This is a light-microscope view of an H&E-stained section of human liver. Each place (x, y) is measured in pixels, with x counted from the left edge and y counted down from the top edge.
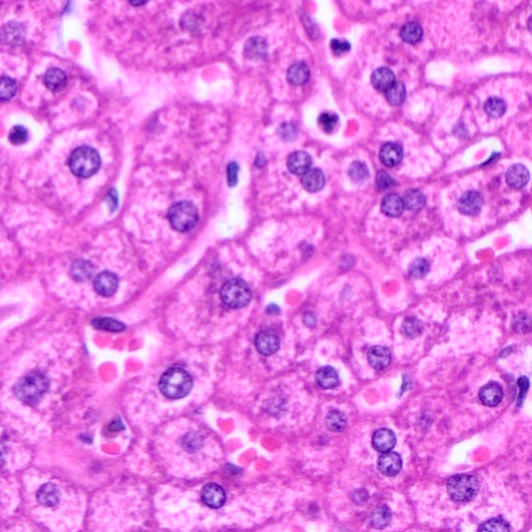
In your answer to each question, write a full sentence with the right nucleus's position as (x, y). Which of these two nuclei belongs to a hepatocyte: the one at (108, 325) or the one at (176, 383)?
The nucleus at (176, 383) is part of a hepatocyte, while the other is not.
